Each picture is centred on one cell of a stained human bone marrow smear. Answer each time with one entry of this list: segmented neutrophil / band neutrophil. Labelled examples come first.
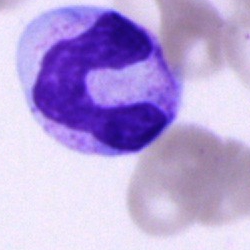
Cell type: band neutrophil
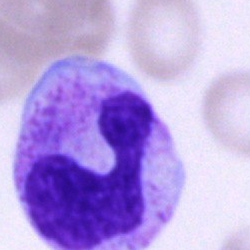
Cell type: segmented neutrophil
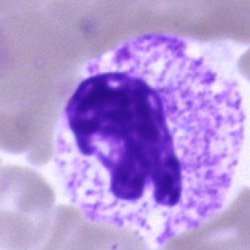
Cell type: segmented neutrophil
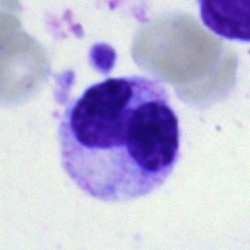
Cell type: band neutrophil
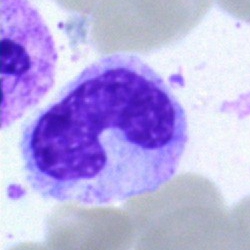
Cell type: band neutrophil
